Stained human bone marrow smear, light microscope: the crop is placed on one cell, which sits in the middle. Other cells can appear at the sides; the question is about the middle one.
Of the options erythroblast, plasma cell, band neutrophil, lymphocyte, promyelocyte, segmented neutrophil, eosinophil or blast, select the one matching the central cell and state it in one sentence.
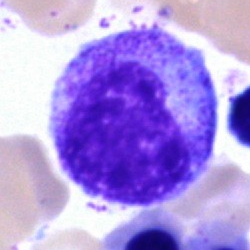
The crop centres on a single cell, and that cell is a promyelocyte.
